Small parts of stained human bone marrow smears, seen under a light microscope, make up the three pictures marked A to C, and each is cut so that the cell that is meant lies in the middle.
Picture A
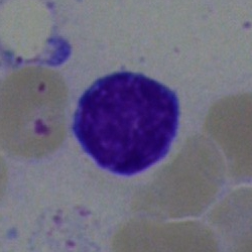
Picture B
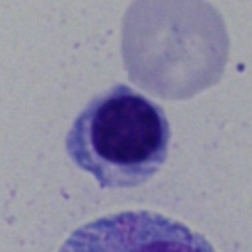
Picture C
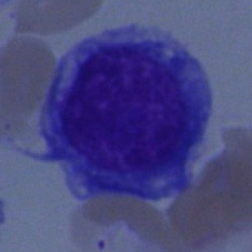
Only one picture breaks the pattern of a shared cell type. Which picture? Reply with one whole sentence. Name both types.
Picture A differs, because its cell is a lymphocyte and the rest are erythroblasts.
